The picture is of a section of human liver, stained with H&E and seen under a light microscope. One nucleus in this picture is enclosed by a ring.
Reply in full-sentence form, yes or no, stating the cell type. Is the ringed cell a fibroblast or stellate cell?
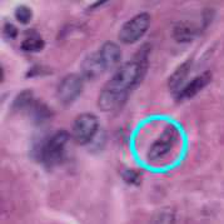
Yes, that is right: the ringed cell is a fibroblast or stellate cell.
